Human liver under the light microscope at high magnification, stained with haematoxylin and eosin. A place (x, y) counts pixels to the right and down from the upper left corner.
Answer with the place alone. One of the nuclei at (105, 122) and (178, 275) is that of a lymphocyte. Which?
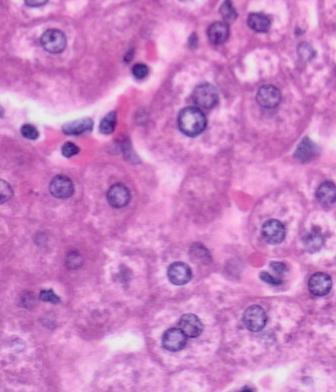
(105, 122)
